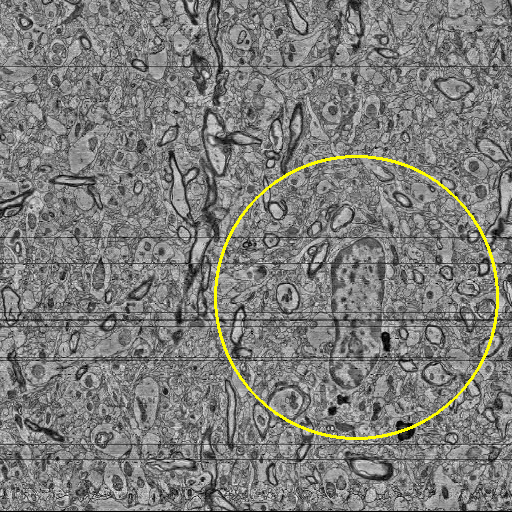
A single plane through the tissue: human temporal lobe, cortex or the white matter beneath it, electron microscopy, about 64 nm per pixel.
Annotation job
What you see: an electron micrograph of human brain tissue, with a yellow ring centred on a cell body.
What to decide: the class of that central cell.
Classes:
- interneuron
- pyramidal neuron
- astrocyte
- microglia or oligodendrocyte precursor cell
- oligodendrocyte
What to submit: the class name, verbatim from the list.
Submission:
microglia or oligodendrocyte precursor cell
